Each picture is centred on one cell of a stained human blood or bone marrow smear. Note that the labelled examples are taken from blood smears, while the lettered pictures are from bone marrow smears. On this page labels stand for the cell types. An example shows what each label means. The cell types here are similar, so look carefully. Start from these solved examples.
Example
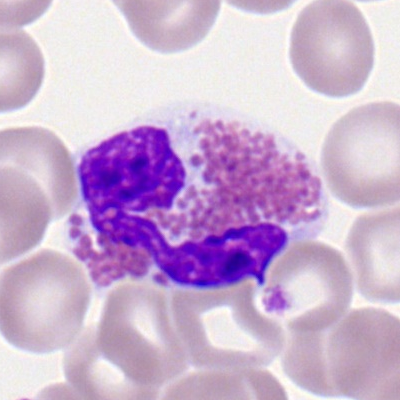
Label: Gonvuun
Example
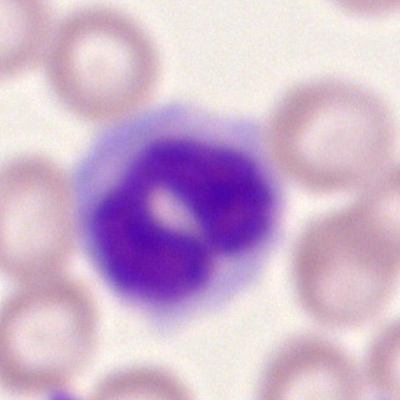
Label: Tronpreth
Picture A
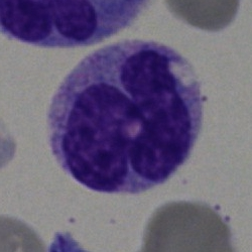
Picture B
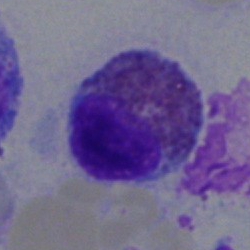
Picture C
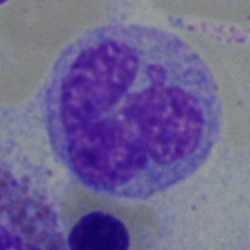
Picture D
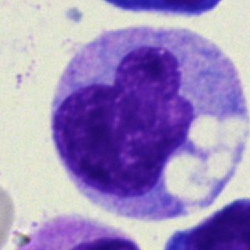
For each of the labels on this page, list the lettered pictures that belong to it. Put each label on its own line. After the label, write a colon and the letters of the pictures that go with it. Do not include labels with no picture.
Gonvuun: B
Tronpreth: A, C, D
